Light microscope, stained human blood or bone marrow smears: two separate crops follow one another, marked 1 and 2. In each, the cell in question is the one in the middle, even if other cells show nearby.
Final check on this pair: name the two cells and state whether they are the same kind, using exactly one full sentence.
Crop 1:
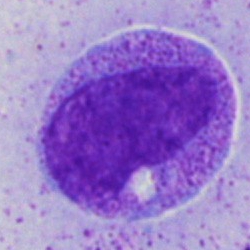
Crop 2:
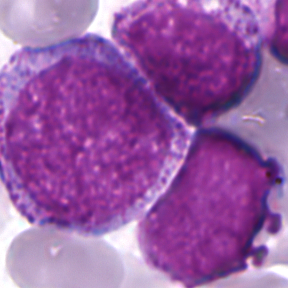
Yes, the middle cells in the two crops are promyelocytes.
